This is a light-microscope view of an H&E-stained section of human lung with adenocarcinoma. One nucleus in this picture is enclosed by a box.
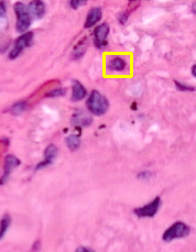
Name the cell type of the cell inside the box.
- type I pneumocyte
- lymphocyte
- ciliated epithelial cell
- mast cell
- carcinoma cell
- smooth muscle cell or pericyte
mast cell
